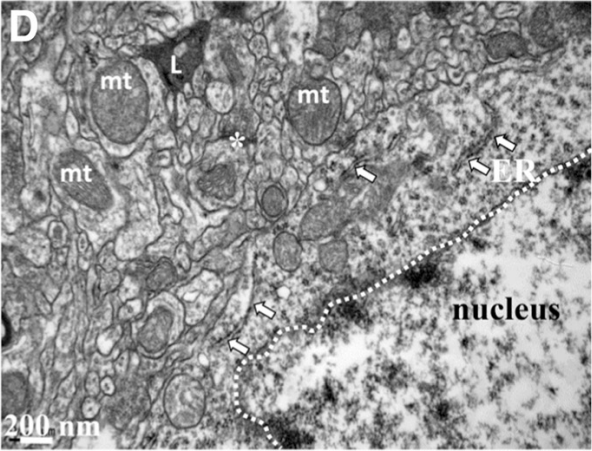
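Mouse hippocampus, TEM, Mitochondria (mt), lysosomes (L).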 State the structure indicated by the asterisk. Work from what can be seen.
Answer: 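Beside the asterisk lies a membrane-bound profile packed with small round vesicles. The profile abuts a neighbouring process across a thickened contact. The answer: synapses with pre-synaptic vesicles.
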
